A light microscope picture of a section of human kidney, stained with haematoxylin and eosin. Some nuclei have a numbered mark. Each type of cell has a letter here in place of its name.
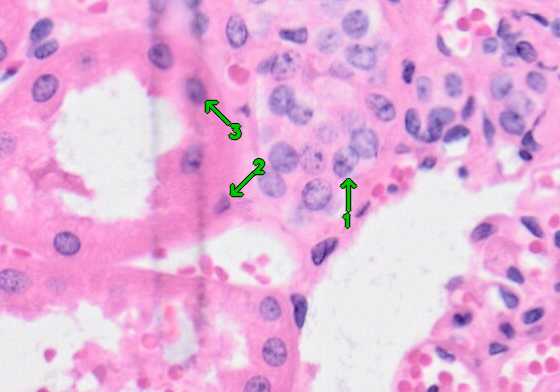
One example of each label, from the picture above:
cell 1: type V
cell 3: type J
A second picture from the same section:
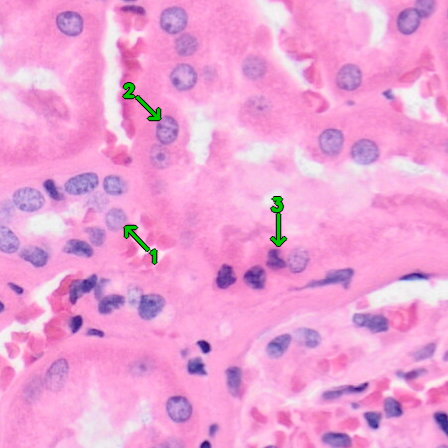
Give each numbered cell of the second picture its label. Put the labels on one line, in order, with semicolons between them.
type V; type J; type J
